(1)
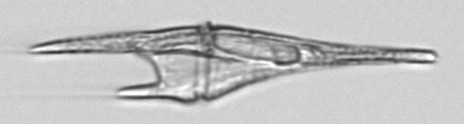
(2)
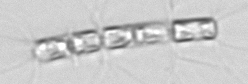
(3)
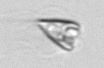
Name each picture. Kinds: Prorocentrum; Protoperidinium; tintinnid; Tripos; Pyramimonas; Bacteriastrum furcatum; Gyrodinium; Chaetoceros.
(1) Tripos
(2) Bacteriastrum furcatum
(3) Pyramimonas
